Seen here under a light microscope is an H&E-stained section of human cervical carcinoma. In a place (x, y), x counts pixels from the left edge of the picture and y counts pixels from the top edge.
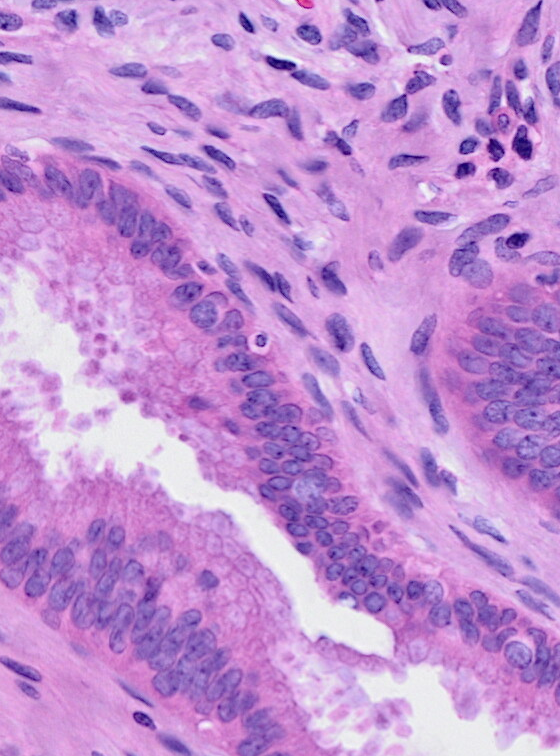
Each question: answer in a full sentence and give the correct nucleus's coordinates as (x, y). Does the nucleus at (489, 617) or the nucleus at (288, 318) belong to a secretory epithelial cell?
Lying within a secretory epithelial cell is the nucleus at (489, 617).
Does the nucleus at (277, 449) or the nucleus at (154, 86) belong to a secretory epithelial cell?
The nucleus at (277, 449) is part of a secretory epithelial cell, while the other is not.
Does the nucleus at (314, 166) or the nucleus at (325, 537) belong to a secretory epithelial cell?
The one belonging to a secretory epithelial cell is the nucleus at (325, 537), not the other.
